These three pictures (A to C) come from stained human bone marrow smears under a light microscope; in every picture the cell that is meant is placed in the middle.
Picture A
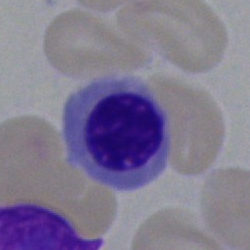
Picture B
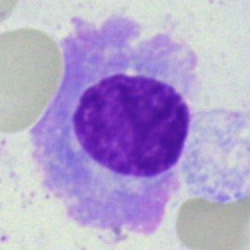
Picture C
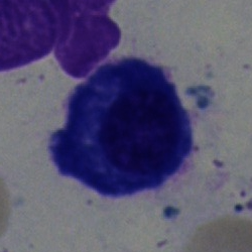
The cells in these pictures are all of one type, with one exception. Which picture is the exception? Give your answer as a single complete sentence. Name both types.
Picture A differs, because its cell is an erythroblast and the rest are plasma cells.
